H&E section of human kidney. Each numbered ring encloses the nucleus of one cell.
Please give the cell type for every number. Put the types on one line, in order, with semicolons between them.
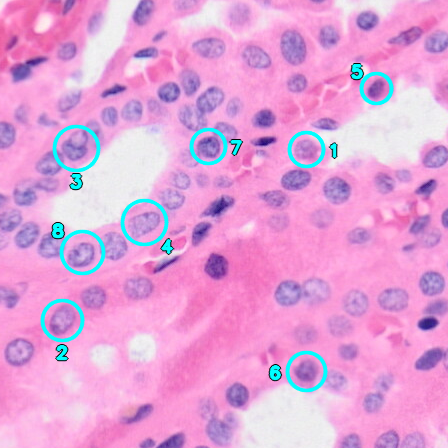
loop of Henle or distal tubule cell; proximal tubule cell; collecting duct cell; collecting duct cell; loop of Henle or distal tubule cell; loop of Henle or distal tubule cell; collecting duct cell; collecting duct cell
